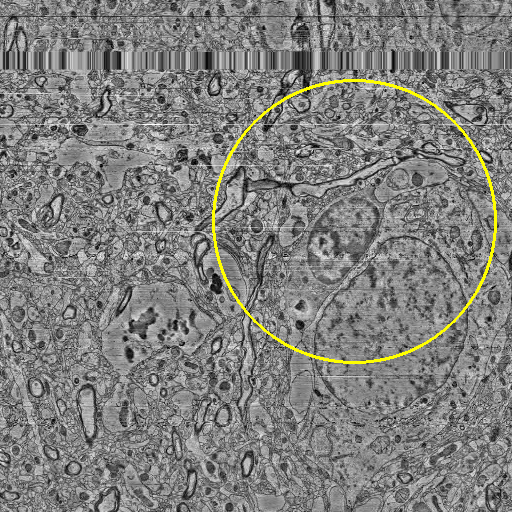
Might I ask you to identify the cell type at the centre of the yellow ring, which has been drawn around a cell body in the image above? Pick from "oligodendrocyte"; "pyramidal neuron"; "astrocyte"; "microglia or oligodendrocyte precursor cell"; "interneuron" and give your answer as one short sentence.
The centre of the ring falls on an oligodendrocyte.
